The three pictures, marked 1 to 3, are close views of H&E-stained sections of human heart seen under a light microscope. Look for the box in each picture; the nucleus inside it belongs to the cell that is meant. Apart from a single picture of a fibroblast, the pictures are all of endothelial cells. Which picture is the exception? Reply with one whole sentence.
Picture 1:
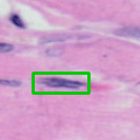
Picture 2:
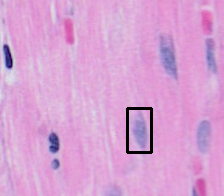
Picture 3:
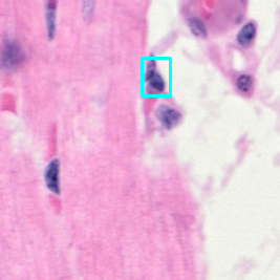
It is picture 3 that shows the fibroblast.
